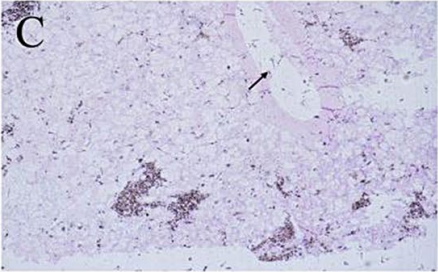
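This is liver tissue whose hepatocytes are distended by clear cytoplasmic vacuoles. The vacuoles give the tissue a pale, lace-like look, with small nuclei pushed between them. Scattered clusters of dark brown pigment lie among the cells.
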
